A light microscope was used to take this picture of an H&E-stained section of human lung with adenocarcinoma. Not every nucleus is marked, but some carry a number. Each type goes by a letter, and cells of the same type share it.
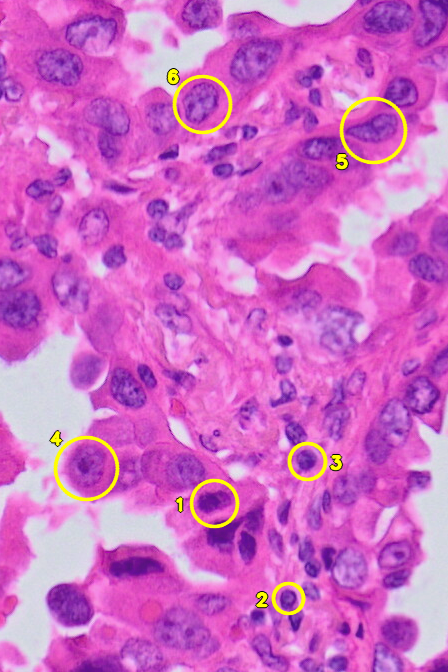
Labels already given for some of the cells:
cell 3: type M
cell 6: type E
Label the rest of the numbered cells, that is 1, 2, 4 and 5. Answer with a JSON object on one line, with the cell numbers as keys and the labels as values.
{"1": "type E", "2": "type M", "4": "type E", "5": "type E"}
